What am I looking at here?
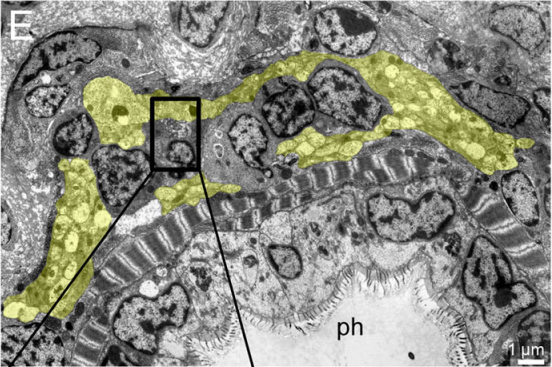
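Transmission electron micrograph of a nervous ganglion lying above the pharynx, with neuronal cell bodies whose nuclei show clumped dark chromatin. Nucleus-free strands of neuropil, packed with pale vesicle-like profiles, wind between and around these cell bodies. Below them run cross-striated muscle fibres, and the pharyngeal lining bears a fringe of microvilli toward the lumen.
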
